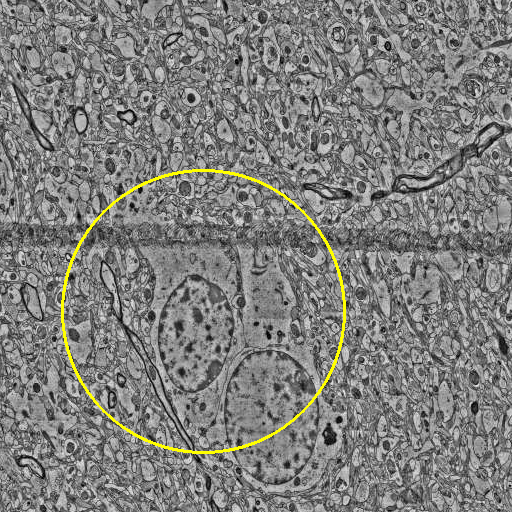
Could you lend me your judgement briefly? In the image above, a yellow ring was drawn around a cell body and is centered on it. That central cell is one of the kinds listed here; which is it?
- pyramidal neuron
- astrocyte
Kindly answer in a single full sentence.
Going by the list, an astrocyte is the kind at the ring's center in the picture.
